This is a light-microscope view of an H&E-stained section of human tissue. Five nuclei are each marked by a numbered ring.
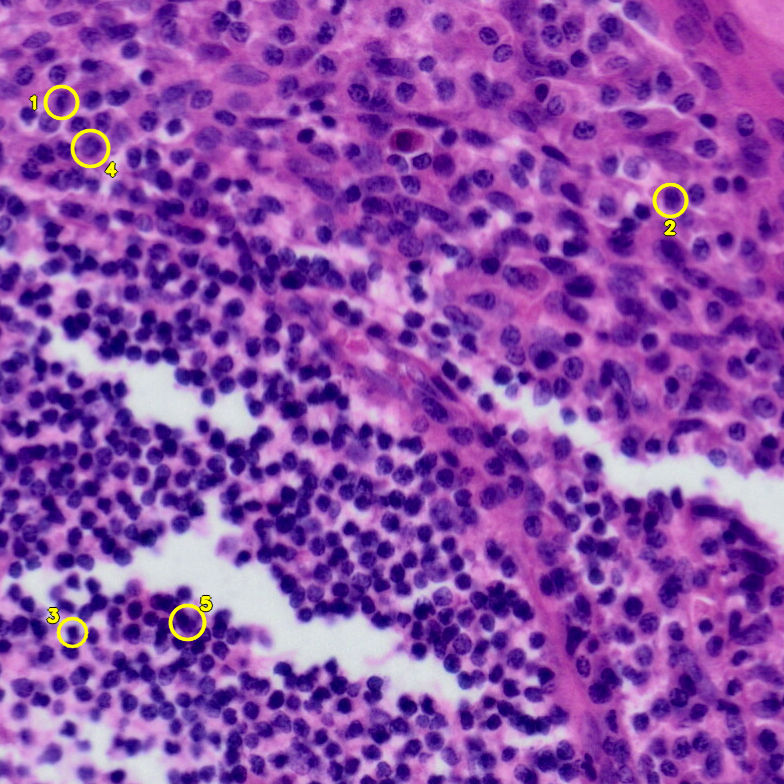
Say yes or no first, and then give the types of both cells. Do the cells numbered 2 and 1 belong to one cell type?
Yes, regarding cells 2 and 1, both are plasma cells.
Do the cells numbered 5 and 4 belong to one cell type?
No; cell 5 is a small lymphocyte, and cell 4 is a plasma cell.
